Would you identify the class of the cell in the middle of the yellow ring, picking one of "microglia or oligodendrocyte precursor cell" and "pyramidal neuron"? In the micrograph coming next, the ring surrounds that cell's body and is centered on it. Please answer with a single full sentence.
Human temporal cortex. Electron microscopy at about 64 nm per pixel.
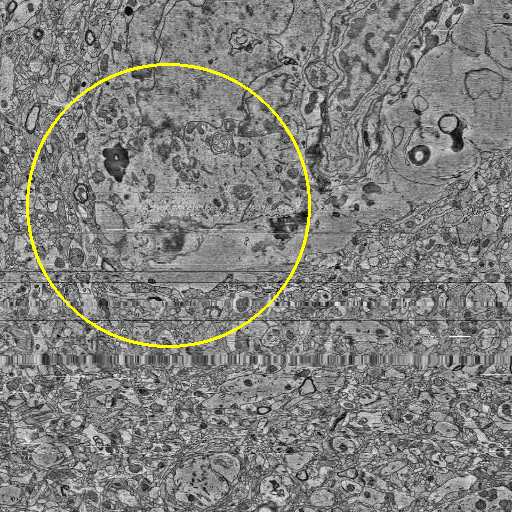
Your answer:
In the micrograph, it is a microglial cell or oligodendrocyte precursor cell whose body lies at the ring's center.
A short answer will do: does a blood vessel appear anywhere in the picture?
Yes, a blood vessel is present in this picture.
